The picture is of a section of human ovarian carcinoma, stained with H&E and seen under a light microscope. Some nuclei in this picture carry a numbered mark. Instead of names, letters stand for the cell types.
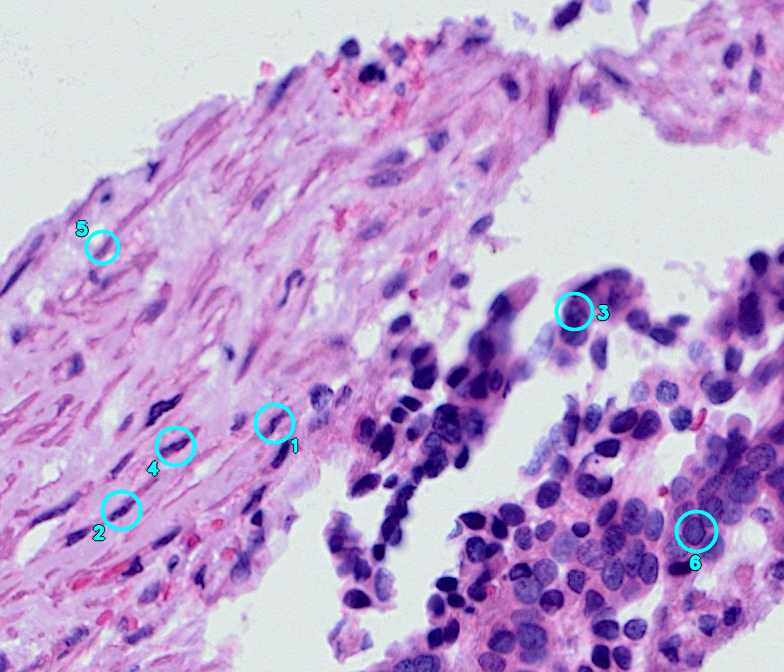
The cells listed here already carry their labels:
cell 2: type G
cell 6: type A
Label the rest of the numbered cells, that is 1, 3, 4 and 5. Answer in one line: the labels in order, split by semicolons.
type G; type A; type G; type G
